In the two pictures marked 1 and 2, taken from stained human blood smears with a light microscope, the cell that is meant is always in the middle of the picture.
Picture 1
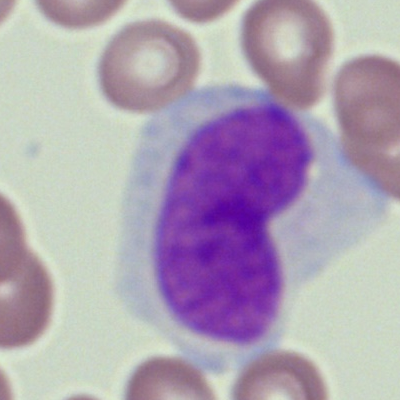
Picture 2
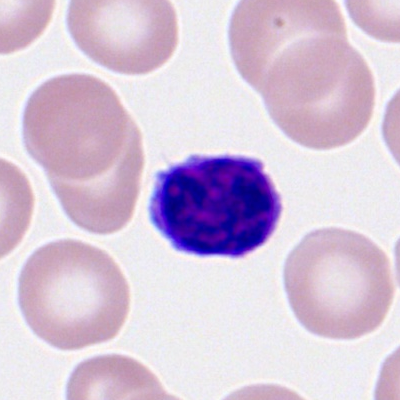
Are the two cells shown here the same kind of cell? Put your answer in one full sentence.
No; the cell in picture 1 is a monocyte, while the one in picture 2 is a lymphocyte.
